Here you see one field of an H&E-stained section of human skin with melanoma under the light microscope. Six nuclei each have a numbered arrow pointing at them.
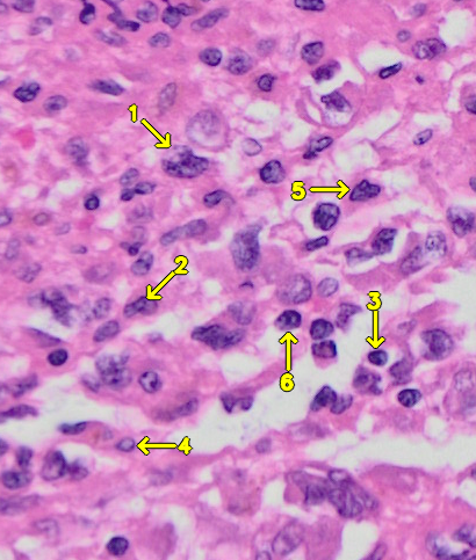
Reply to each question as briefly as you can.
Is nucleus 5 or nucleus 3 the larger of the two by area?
5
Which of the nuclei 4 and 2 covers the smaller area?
4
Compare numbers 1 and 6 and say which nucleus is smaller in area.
6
